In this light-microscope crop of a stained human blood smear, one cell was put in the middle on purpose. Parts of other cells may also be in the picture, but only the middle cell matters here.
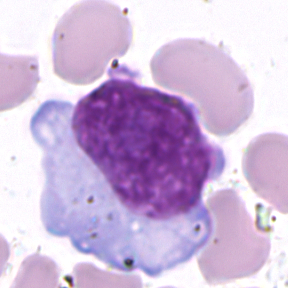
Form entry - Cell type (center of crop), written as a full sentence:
Present in the middle of the crop is a plasma cell.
